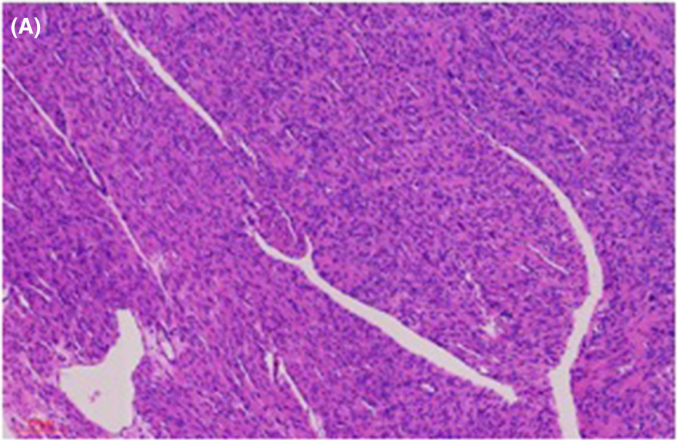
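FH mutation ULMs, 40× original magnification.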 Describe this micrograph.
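This is a densely cellular tumor at low power, traversed by thin-walled, branching staghorn vessels. The tumor cells are spindle-shaped with pink cytoplasm and are arranged in sweeping fascicles. The vascular channels are empty, gaping spaces that fork at angles between the bundles of tumor cells.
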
